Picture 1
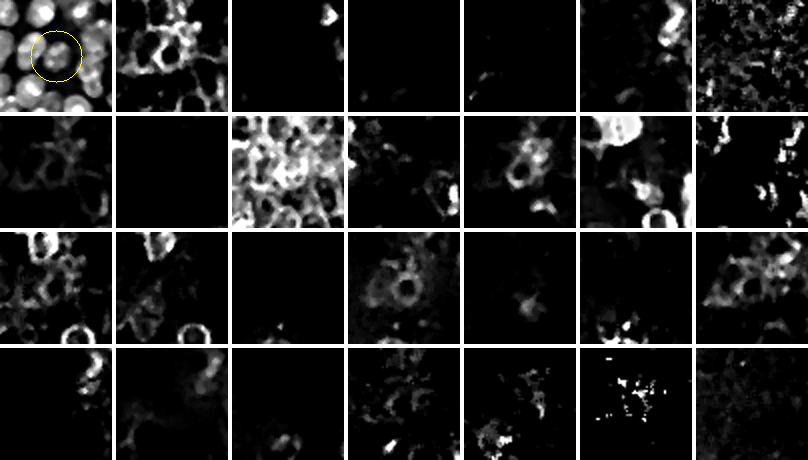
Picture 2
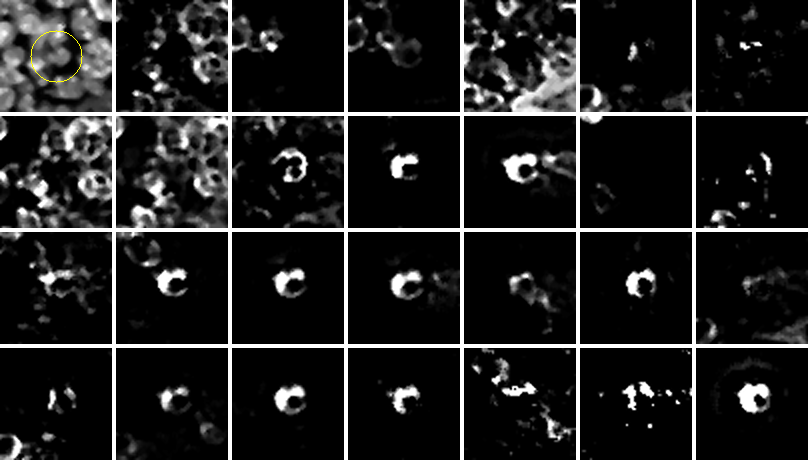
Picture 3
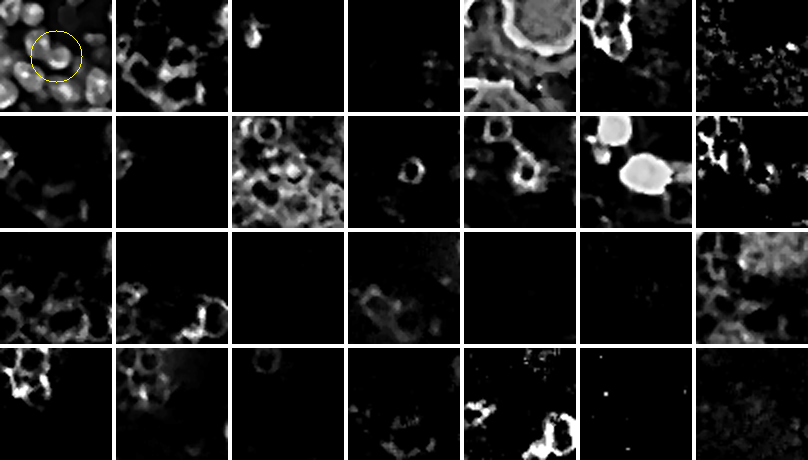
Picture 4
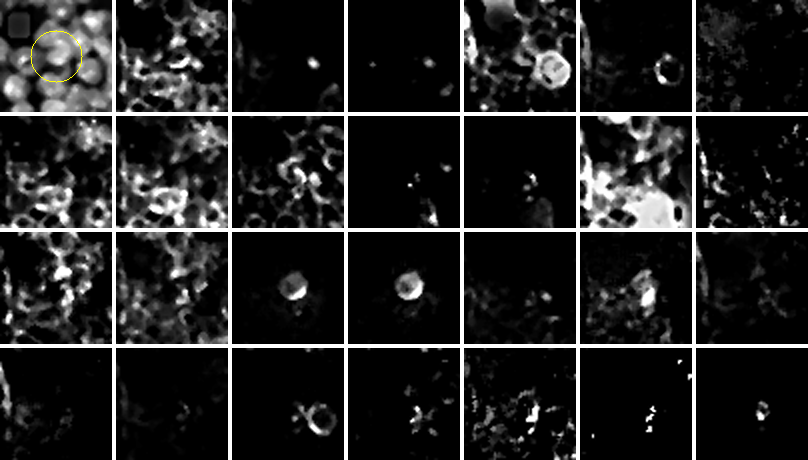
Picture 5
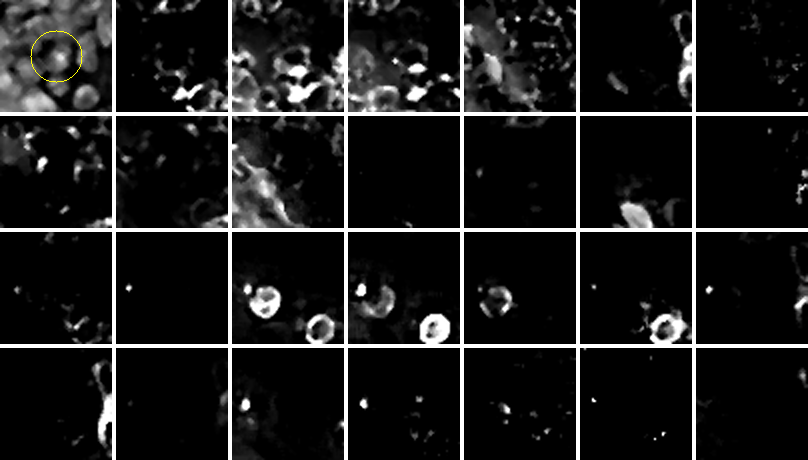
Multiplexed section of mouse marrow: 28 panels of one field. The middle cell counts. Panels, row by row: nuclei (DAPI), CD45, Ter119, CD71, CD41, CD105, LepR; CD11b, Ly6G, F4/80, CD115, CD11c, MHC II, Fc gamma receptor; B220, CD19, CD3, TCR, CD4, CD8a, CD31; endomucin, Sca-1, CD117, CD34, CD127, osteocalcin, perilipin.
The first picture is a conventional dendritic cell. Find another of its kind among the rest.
Picture 3.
